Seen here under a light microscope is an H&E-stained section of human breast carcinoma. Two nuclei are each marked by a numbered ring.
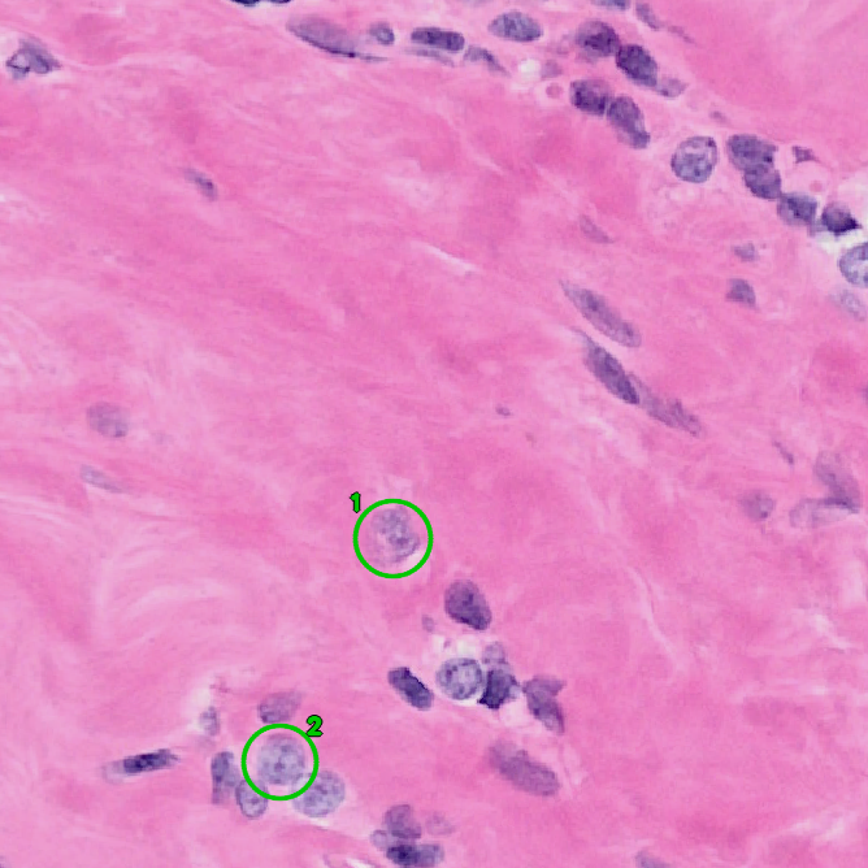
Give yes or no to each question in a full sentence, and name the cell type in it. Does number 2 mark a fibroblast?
No, with respect, cell 2 is a carcinoma cell rather than a fibroblast.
